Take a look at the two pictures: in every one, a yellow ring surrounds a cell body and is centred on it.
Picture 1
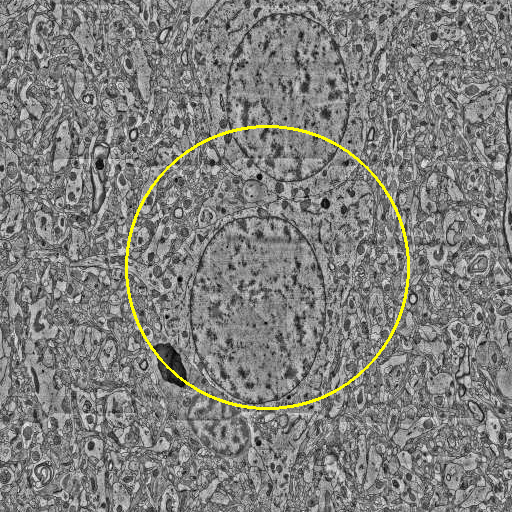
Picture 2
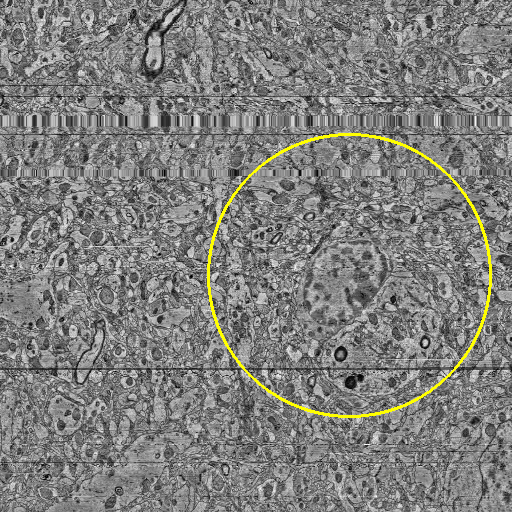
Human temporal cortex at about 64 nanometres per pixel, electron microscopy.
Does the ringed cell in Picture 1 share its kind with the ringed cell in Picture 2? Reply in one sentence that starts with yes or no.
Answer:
No, the two centred cells, one per picture, are of two kinds.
